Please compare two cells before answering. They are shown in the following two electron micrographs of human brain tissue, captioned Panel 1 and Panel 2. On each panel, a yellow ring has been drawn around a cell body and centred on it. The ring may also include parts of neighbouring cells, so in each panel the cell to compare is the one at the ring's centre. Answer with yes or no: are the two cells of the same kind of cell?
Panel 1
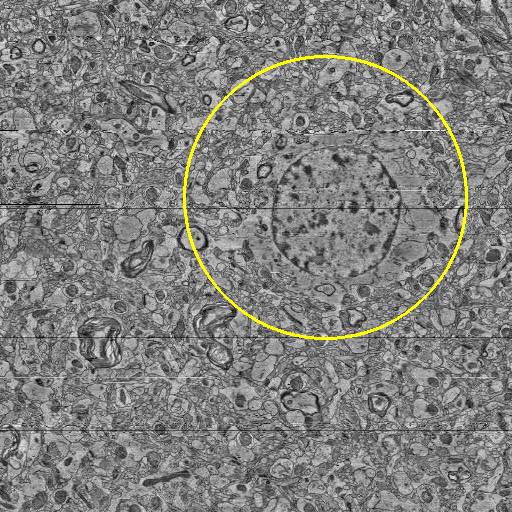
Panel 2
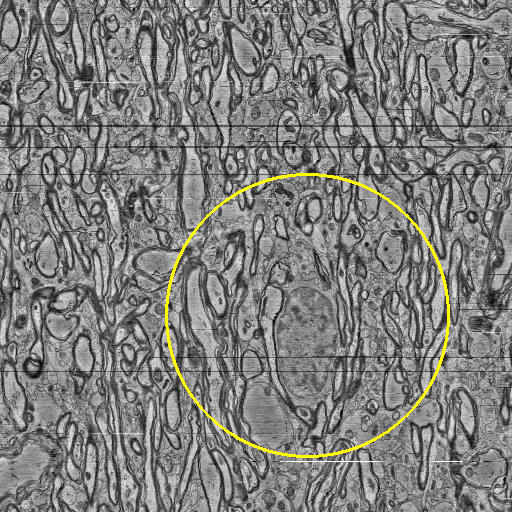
no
